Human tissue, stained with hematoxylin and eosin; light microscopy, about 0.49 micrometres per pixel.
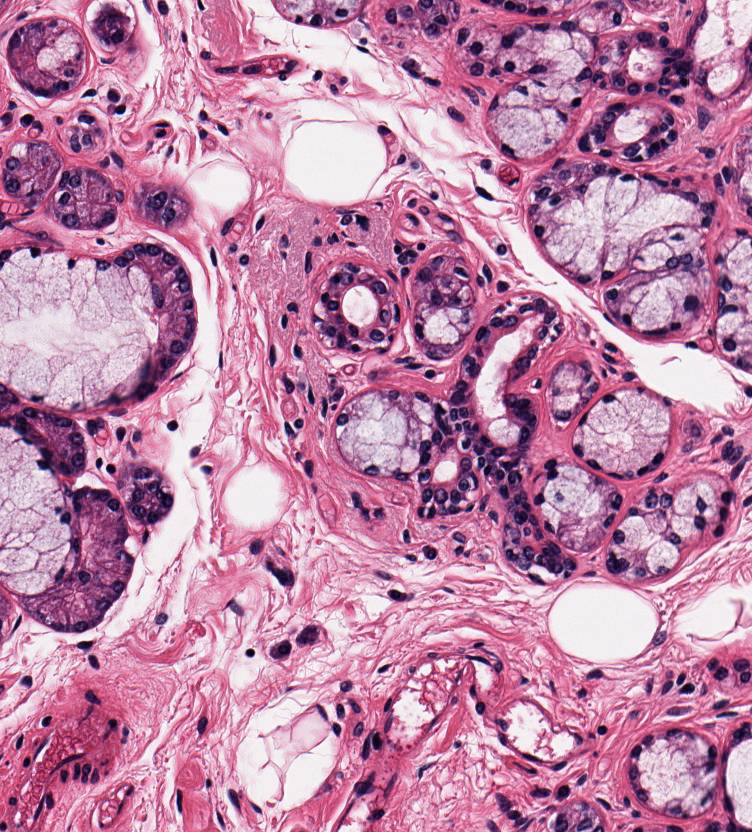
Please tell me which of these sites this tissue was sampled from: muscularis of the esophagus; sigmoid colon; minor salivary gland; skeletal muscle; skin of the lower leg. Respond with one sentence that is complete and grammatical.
The specimen on this slide came from the minor salivary gland.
